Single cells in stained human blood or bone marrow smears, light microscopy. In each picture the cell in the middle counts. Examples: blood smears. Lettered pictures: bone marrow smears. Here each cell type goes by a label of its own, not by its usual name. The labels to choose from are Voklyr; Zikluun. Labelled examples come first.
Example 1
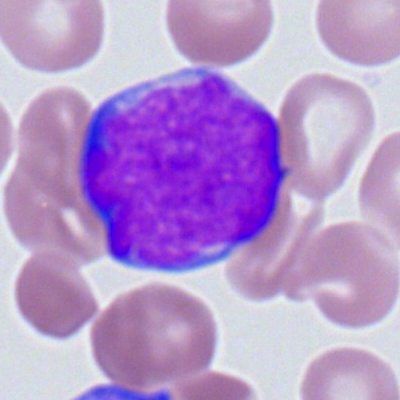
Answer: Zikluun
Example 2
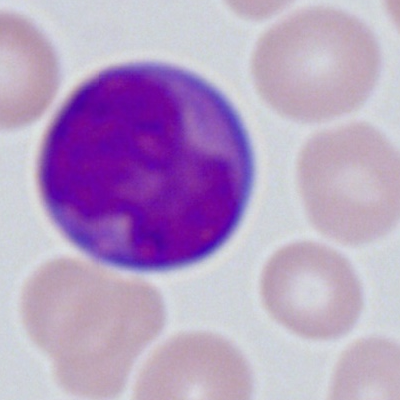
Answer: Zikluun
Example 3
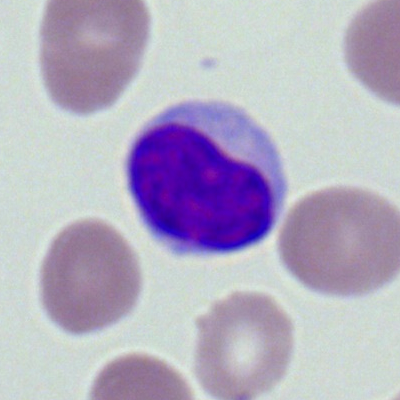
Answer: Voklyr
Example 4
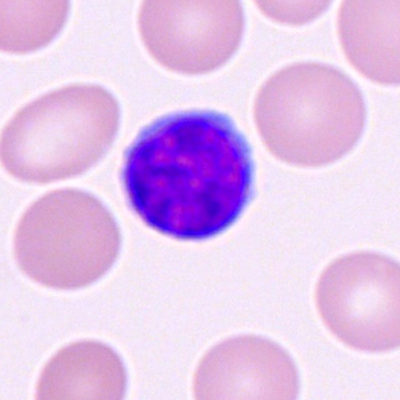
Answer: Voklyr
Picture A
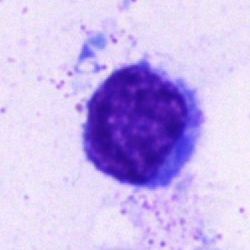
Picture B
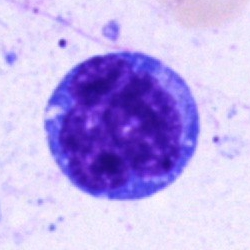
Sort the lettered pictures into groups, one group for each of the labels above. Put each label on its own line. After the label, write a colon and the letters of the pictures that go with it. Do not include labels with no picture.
Voklyr: A
Zikluun: B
